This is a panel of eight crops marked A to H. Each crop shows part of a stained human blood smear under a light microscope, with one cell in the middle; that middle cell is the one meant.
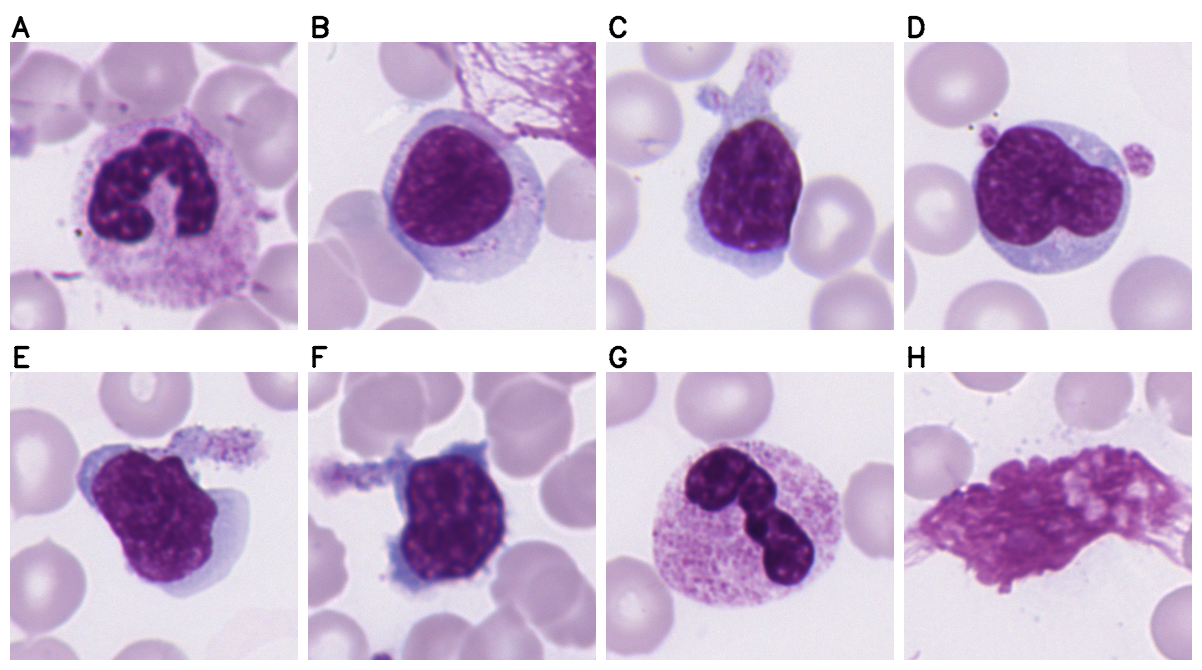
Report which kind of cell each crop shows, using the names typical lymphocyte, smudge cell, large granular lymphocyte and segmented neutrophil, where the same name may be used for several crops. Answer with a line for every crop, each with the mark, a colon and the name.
A: segmented neutrophil
B: large granular lymphocyte
C: typical lymphocyte
D: typical lymphocyte
E: large granular lymphocyte
F: typical lymphocyte
G: segmented neutrophil
H: smudge cell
